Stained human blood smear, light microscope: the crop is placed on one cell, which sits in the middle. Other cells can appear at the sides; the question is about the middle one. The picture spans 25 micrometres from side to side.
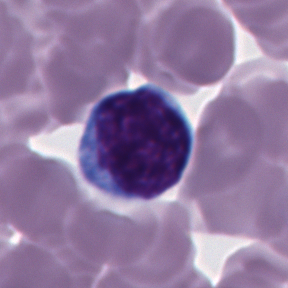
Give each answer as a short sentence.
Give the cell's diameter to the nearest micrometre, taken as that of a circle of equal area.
The cell is about 10 micrometres across.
